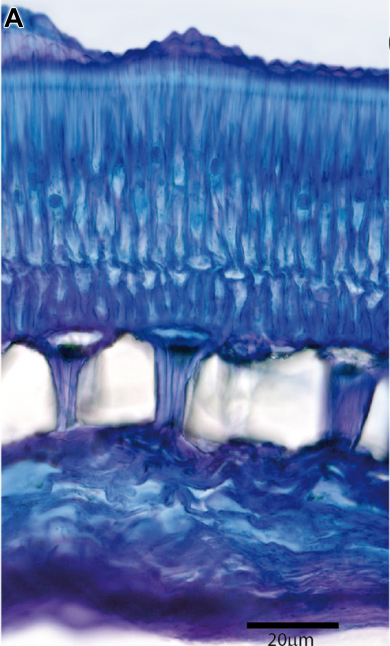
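This is a cross-section through a legume seed coat, seen in blue. At the top is a single layer of very tall, narrow macrosclereids standing side by side like a palisade; their walls are so thick that the cell cavities are reduced to thin slits, widening somewhat toward the base. Near the outer surface a paler band runs across the palisade, and the surface itself is covered by a thin cuticle. Beneath the palisade lies one row of osteosclereids, shaped like spools or bones, narrow in the middle and flared at both ends, with large clear spaces between them. Below them the inner parenchyma layers are collapsed into flattened, wavy fragments.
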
